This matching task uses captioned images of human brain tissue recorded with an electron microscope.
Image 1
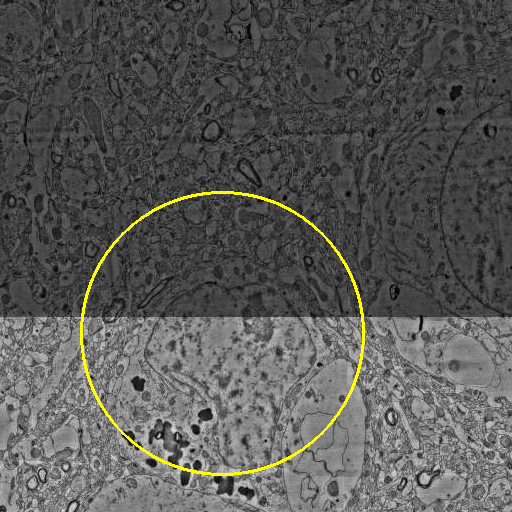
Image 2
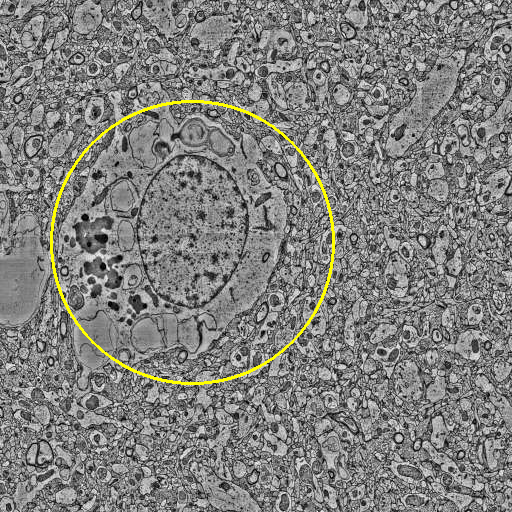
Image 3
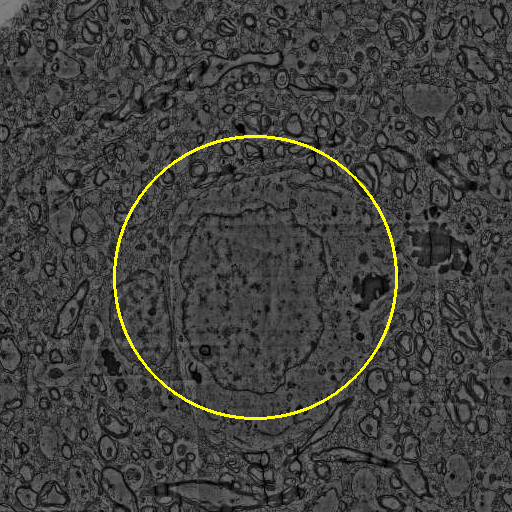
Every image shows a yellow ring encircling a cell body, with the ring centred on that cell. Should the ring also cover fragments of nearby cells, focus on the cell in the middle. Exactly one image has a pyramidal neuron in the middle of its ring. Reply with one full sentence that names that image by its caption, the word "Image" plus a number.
Image 3 shows the cell in question at the centre of its yellow ring.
